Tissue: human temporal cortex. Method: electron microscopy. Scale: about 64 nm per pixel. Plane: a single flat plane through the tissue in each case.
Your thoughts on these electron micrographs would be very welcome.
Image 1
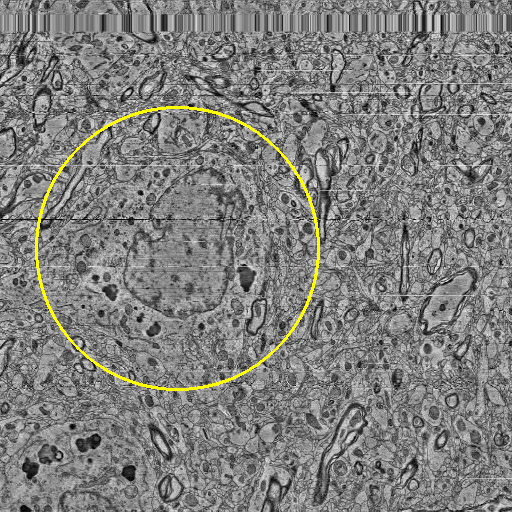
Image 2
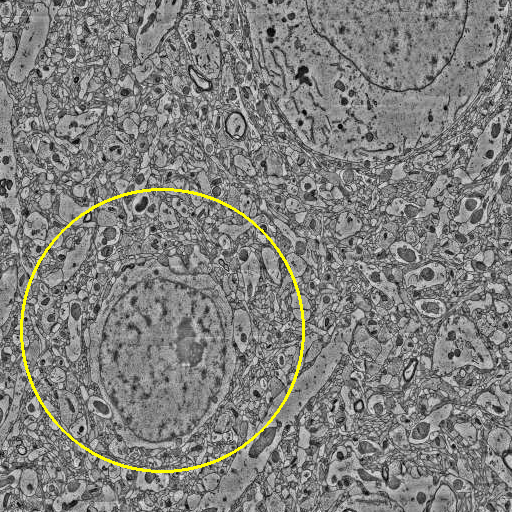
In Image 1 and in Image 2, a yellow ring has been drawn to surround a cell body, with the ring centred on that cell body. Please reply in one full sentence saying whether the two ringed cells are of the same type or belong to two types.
The ringed cells in Image 1 and Image 2 are of the same type.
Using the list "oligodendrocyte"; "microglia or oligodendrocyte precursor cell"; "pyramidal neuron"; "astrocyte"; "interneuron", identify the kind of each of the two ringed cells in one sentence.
The second cell is an interneuron, just as the first is.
